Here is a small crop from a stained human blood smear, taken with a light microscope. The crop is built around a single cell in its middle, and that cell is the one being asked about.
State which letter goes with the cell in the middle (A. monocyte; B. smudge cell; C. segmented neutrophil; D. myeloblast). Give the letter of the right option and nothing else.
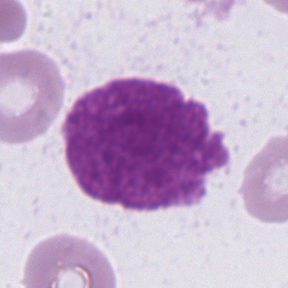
B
